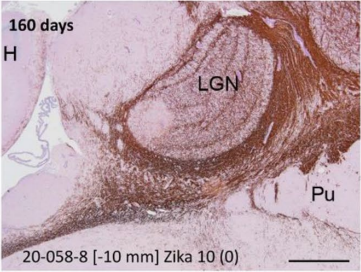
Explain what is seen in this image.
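Dense brown-stained fibre bundles form a thick capsule around the nucleus and stream diagonally toward the lower left as a tapering tract. Within the nucleus, fainter brown fibres run in curved parallel bands, giving it a laminated appearance, while a pale pink area remains toward its inner side. The surrounding grey matter, including the curled hippocampal tissue at the upper left, stains pale pink with little brown. Small round empty profiles of blood vessels lie within the brown-stained white matter.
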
